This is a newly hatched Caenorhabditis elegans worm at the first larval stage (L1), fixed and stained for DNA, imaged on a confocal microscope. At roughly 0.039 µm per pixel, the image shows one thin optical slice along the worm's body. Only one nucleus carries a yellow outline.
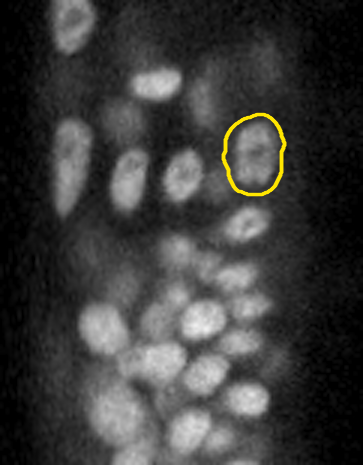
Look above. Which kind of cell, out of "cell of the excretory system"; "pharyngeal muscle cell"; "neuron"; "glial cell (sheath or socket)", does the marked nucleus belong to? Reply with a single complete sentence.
The nucleus comes from a cell of the excretory system.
